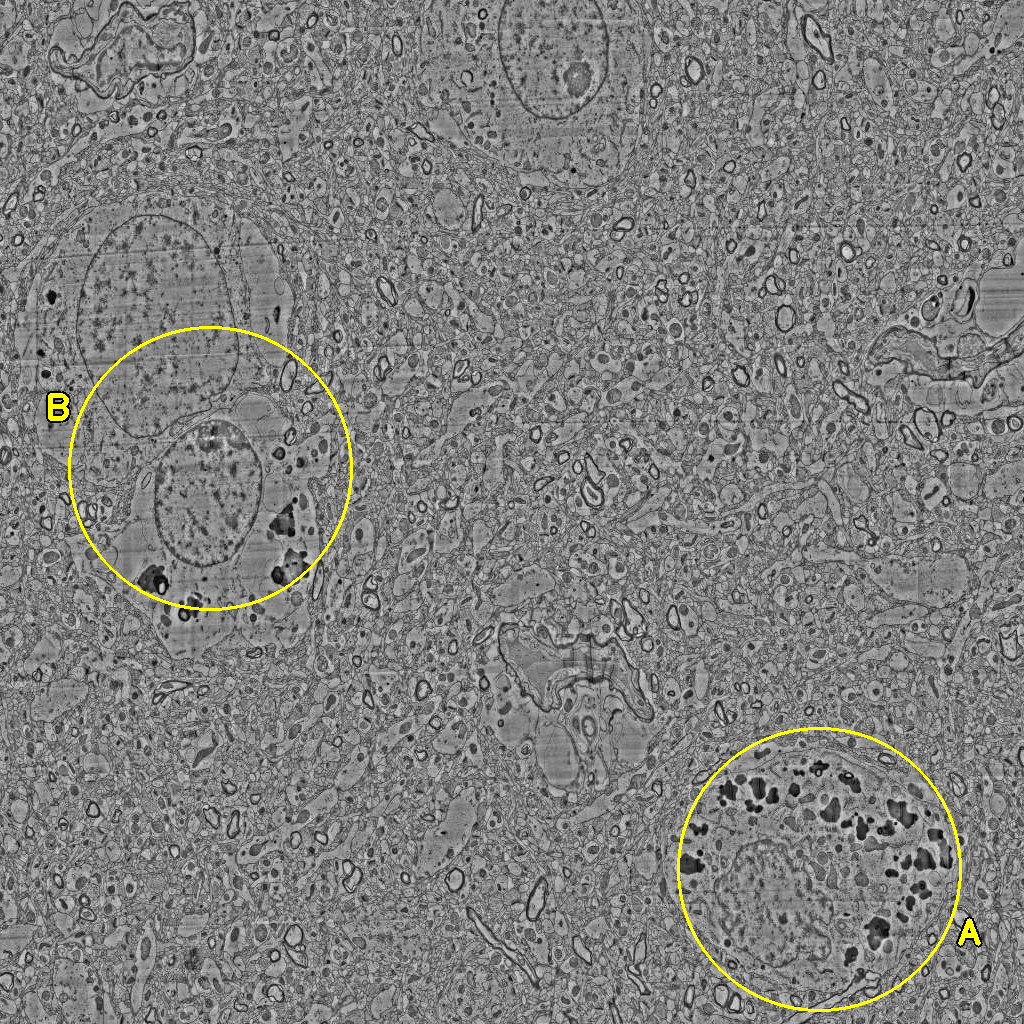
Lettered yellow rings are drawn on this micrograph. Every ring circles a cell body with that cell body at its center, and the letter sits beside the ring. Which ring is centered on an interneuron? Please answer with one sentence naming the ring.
Ring A has it at its center.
